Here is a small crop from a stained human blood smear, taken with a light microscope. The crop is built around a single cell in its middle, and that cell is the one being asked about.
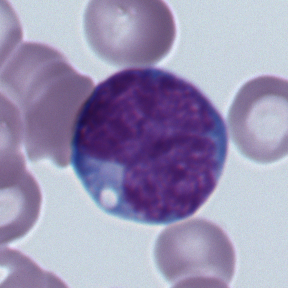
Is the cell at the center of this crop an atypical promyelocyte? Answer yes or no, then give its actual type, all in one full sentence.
No, the central cell is properly termed a myeloblast, not an atypical promyelocyte.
